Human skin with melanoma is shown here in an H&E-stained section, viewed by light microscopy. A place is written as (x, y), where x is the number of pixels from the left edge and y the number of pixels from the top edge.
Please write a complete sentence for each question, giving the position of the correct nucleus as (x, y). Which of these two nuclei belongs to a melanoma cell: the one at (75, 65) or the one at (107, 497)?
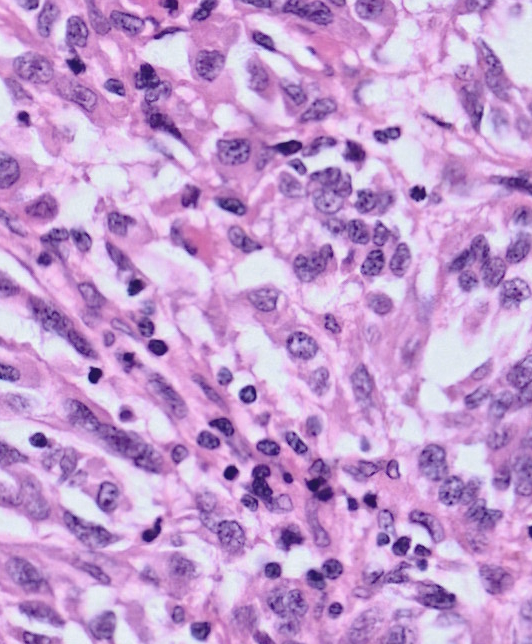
The nucleus at (107, 497) is assigned to a melanoma cell.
